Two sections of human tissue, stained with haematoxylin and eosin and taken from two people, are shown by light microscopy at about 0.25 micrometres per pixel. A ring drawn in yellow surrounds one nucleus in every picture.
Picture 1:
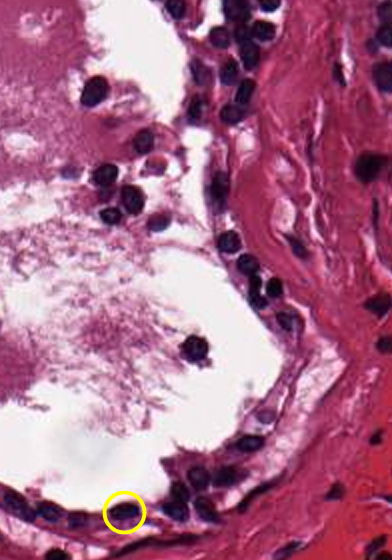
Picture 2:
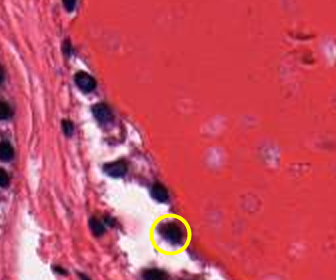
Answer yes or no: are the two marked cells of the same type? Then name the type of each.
Yes, both are thyroid follicular cells.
